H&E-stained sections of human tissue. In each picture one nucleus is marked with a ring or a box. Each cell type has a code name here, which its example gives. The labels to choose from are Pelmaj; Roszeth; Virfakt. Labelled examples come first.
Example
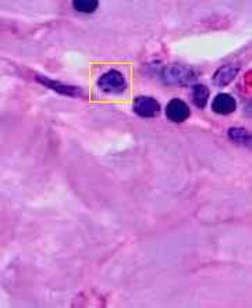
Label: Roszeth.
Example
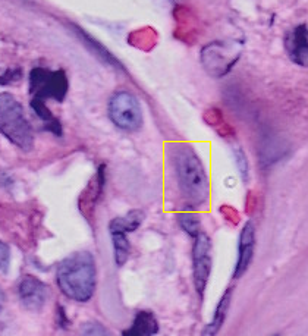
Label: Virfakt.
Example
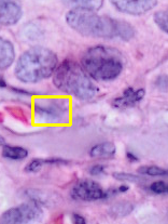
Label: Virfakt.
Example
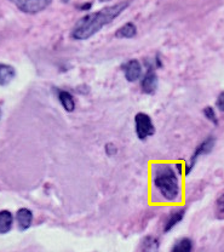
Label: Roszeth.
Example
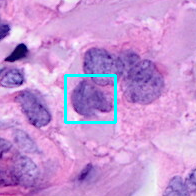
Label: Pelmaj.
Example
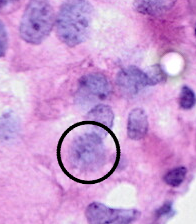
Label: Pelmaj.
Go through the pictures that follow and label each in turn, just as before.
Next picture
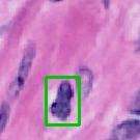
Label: Roszeth.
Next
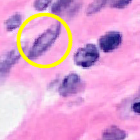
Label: Virfakt.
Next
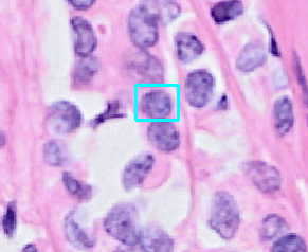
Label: Pelmaj.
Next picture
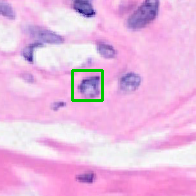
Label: Virfakt.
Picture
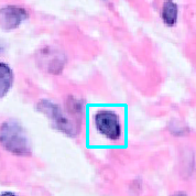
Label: Roszeth.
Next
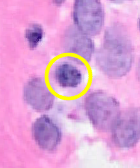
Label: Roszeth.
